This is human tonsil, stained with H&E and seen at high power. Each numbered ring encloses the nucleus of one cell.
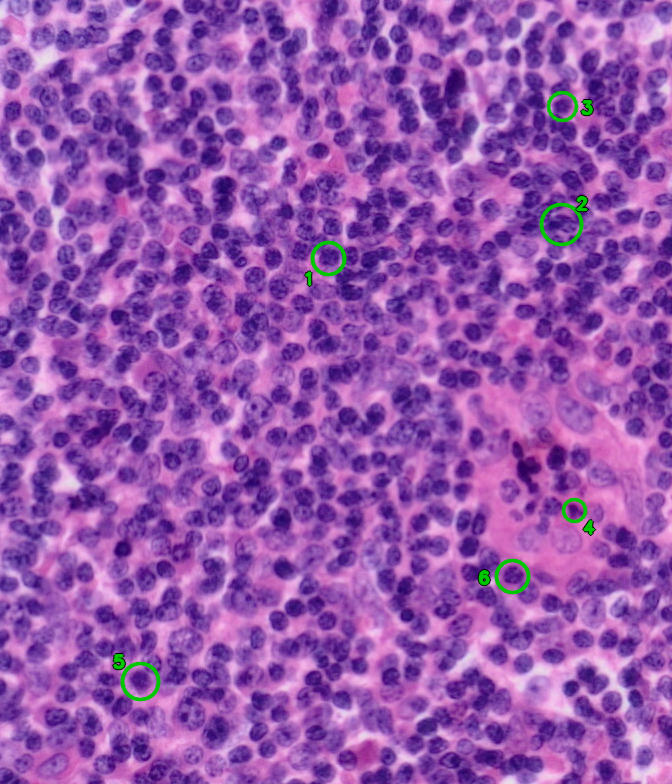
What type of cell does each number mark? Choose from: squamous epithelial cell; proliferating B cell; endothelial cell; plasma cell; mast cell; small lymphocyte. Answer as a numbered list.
1. small lymphocyte
2. small lymphocyte
3. small lymphocyte
4. endothelial cell
5. proliferating B cell
6. plasma cell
